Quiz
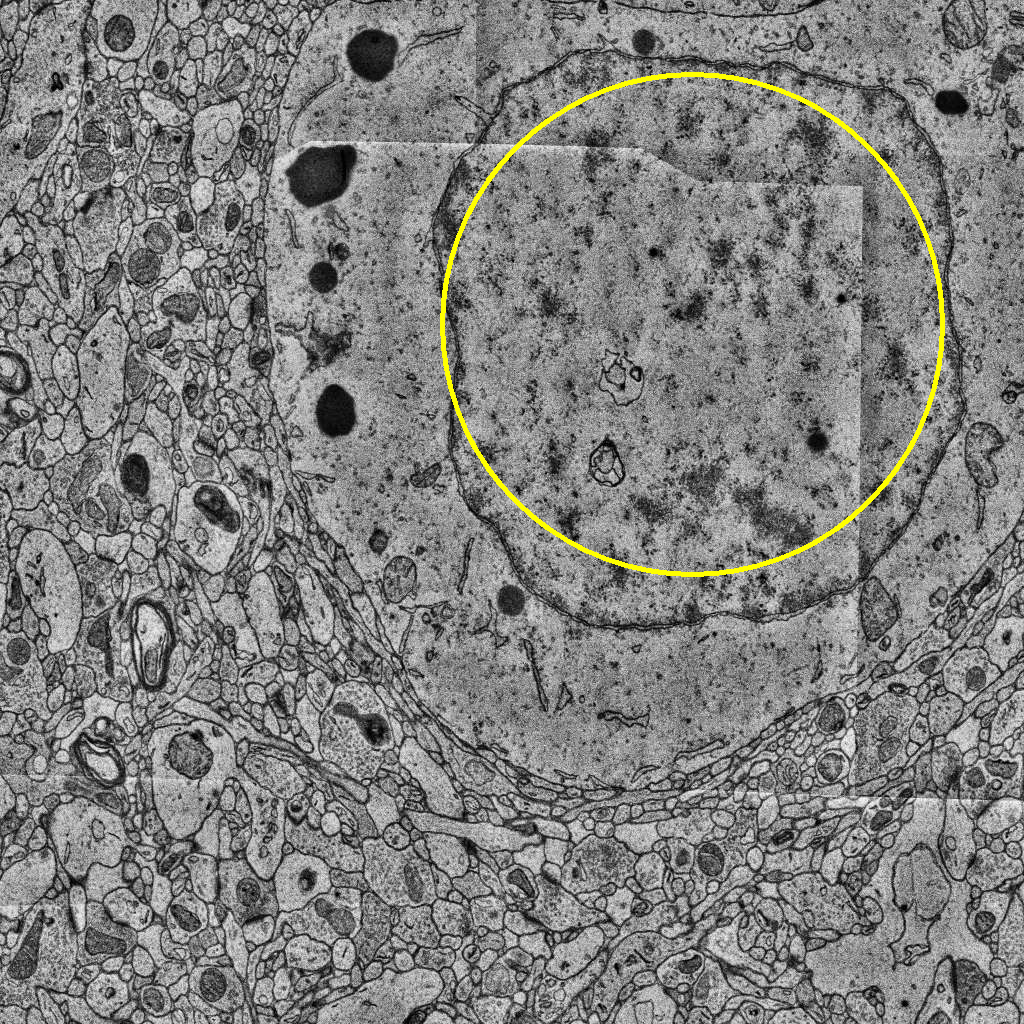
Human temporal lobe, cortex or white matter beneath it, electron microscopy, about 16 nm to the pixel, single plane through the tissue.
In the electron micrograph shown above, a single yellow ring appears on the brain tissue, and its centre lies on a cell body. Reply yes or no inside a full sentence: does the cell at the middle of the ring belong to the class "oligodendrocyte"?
No, the cell lying at the ring's centre in the picture belongs to a different class.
